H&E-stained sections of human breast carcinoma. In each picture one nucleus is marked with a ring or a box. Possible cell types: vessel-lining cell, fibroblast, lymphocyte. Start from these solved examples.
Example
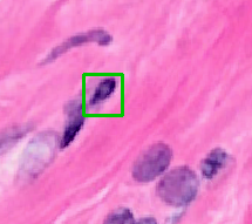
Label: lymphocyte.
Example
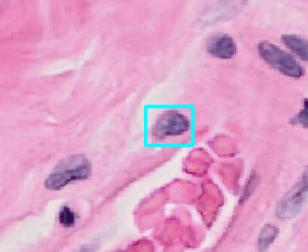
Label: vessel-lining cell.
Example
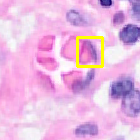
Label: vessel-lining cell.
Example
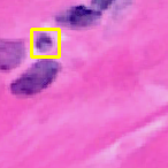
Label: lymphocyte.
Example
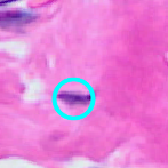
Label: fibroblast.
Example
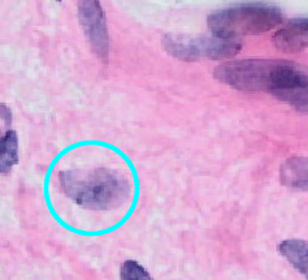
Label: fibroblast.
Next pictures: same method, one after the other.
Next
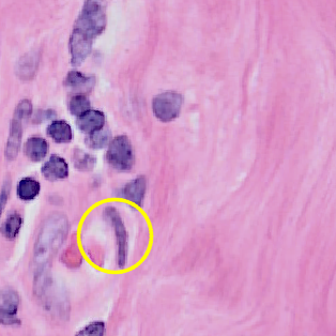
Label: vessel-lining cell.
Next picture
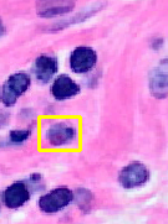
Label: lymphocyte.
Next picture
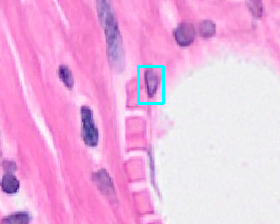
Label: vessel-lining cell.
